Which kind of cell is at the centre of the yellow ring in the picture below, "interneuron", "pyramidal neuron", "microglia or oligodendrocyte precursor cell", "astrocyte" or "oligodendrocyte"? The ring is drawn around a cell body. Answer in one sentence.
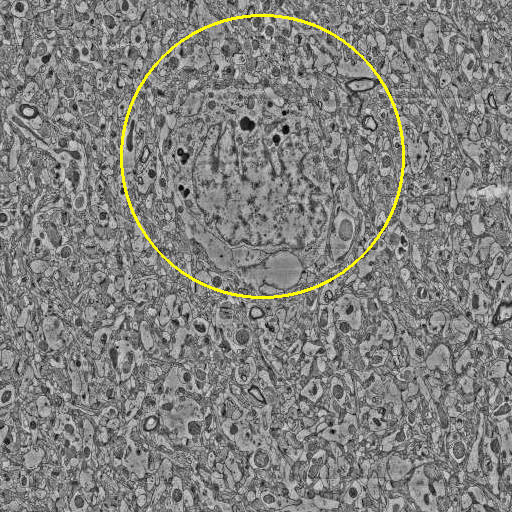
The ring's central cell is an interneuron.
